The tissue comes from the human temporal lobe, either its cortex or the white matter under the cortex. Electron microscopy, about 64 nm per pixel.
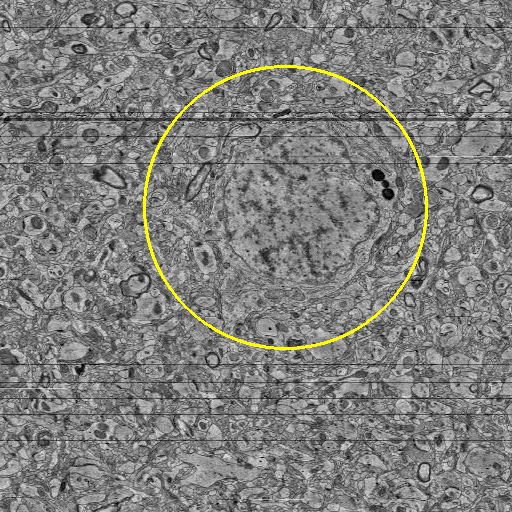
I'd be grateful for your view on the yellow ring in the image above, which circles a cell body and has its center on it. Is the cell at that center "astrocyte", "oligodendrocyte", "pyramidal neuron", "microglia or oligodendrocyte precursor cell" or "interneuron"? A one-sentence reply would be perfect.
The cell at the center of the yellow ring is an interneuron.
